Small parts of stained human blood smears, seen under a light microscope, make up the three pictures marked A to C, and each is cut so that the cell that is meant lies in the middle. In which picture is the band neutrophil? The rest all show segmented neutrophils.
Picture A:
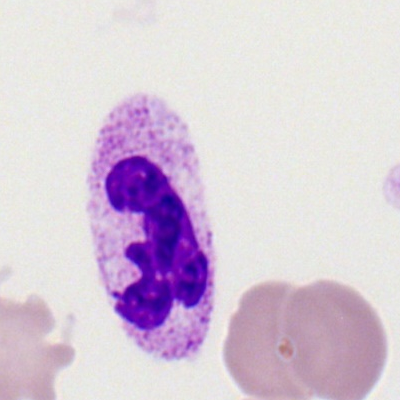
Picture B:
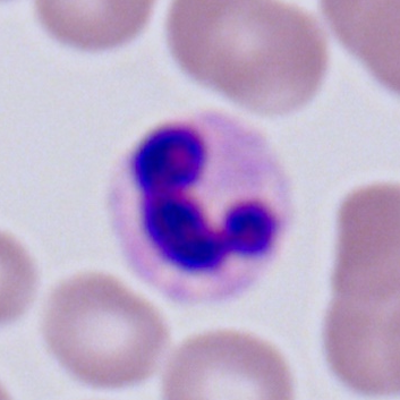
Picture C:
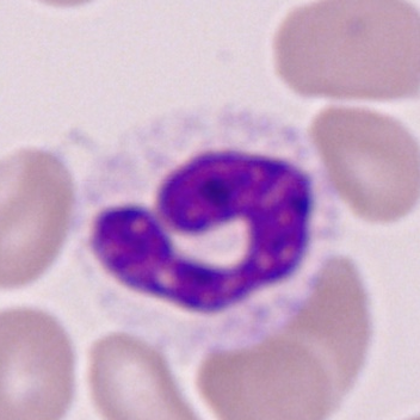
C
